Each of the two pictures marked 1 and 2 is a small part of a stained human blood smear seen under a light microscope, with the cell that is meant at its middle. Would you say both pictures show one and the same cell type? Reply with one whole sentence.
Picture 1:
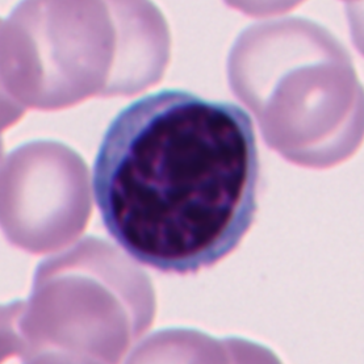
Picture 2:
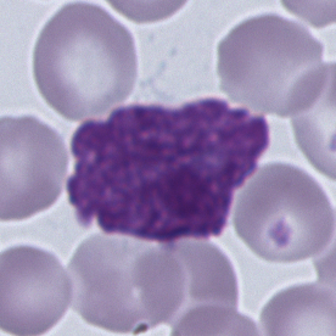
No. Picture 1 shows a typical lymphocyte, but picture 2 shows a smudge cell.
